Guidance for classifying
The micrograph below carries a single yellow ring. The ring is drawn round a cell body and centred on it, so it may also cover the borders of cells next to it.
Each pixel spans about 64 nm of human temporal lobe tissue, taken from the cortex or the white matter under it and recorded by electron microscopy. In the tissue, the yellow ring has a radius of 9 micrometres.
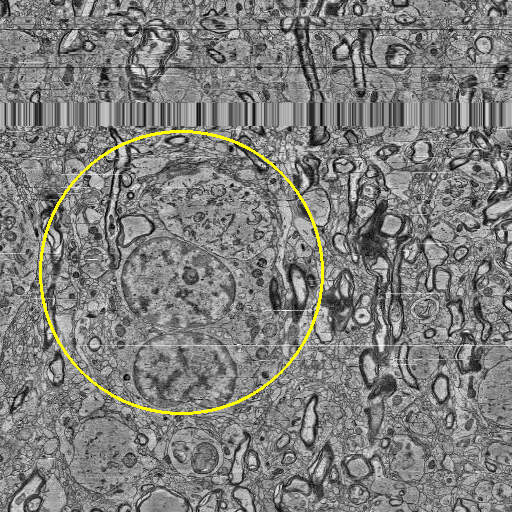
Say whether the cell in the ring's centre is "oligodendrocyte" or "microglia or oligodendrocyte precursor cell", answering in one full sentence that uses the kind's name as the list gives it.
Within the yellow ring, an oligodendrocyte is the cell whose body sits at the centre.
